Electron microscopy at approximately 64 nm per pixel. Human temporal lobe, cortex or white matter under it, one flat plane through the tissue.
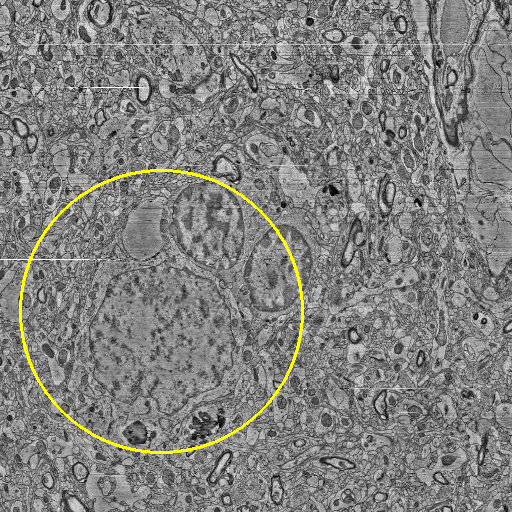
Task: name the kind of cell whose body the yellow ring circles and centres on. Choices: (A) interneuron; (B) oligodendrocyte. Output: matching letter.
A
